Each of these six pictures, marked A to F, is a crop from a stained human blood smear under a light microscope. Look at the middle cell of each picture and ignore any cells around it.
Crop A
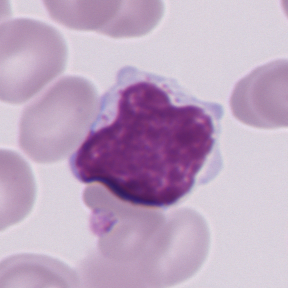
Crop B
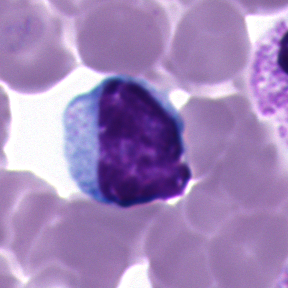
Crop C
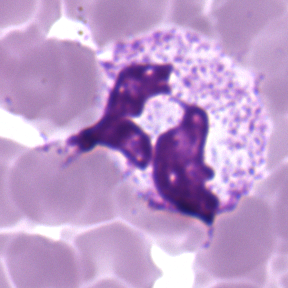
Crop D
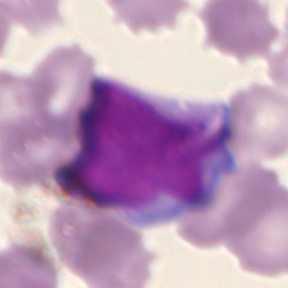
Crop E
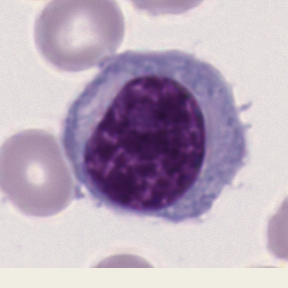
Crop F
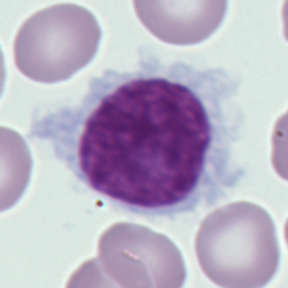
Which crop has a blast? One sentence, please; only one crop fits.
Of the cells presented, the one in crop D is a blast.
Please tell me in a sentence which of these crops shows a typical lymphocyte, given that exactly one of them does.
The one showing a typical lymphocyte is the crop labelled B.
